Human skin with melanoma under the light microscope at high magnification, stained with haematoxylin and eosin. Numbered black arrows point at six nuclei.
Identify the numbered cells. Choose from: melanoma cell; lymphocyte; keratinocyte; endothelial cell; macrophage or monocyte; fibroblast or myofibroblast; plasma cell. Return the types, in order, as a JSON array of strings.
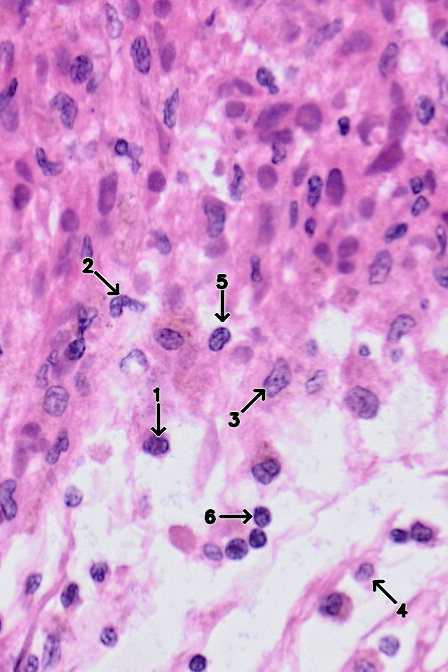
["macrophage or monocyte", "macrophage or monocyte", "macrophage or monocyte", "macrophage or monocyte", "lymphocyte", "lymphocyte"]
